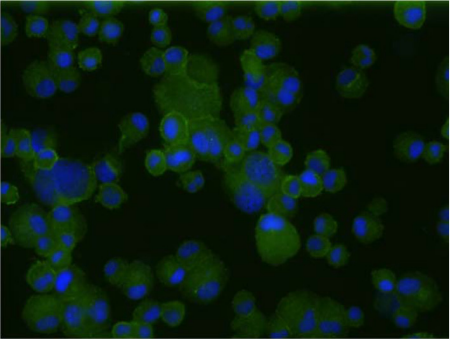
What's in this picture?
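Most cells are small and rounded, with a single oval blue nucleus taking up much of the cell and a thin rim of green cytoplasm whose border is brighter. The cells lie singly or in small groups on a dark background, some touching or overlapping one another.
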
